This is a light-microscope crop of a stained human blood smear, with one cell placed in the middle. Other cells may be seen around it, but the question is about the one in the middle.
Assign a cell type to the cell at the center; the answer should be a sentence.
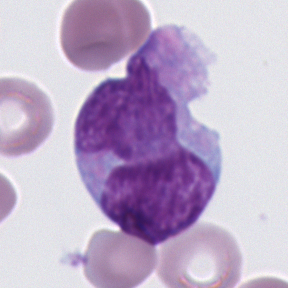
At the middle of the frame sits an atypical promyelocyte.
